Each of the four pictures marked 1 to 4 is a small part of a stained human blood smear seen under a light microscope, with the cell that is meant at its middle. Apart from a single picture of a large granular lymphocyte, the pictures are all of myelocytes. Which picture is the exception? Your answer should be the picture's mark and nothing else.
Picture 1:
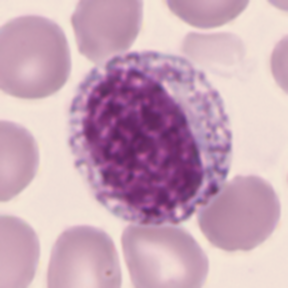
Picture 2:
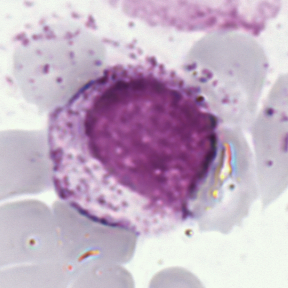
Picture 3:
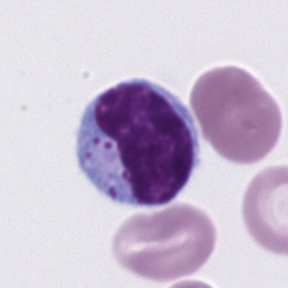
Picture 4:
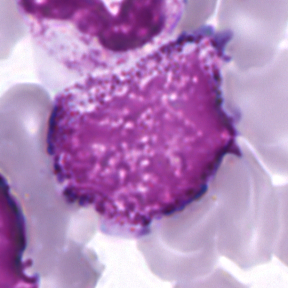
3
